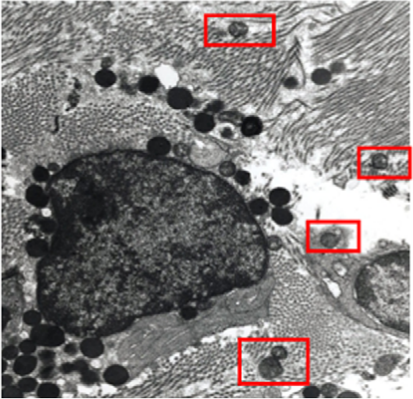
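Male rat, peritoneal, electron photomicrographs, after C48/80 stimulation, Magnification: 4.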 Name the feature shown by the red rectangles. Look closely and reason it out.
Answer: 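Extracellular mitochondria. The boxed small oval bodies lie outside the cell among fibrils. They are separate from the cell with the large nucleus.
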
